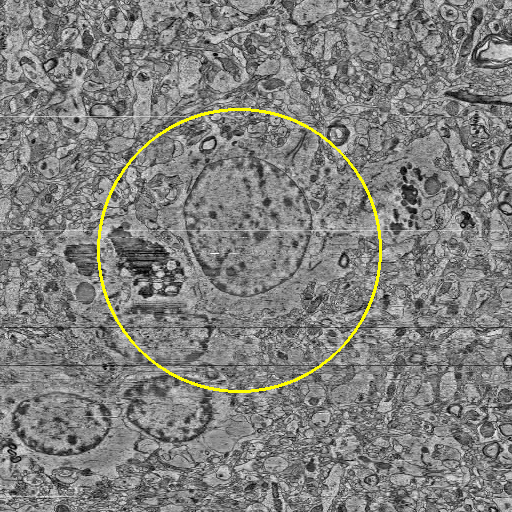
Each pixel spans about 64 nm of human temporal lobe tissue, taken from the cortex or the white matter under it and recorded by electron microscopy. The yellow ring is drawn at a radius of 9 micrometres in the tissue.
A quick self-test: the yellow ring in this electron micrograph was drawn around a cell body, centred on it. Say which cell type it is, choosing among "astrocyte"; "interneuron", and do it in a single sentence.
The yellow-ringed cell is an astrocyte.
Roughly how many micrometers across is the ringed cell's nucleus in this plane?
In this plane the nucleus measures roughly 9 by 8 micrometres.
